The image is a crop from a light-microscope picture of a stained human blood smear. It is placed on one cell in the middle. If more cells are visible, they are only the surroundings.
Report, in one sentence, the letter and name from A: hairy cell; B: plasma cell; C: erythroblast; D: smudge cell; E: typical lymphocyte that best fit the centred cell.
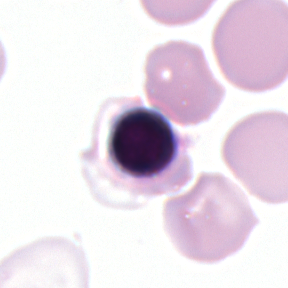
Since the cell in the centre is an erythroblast, the correct option is C.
